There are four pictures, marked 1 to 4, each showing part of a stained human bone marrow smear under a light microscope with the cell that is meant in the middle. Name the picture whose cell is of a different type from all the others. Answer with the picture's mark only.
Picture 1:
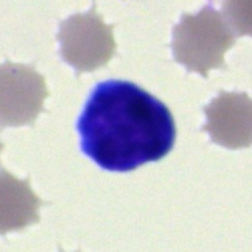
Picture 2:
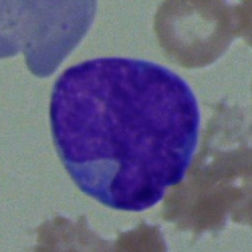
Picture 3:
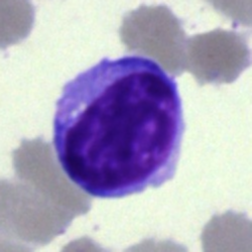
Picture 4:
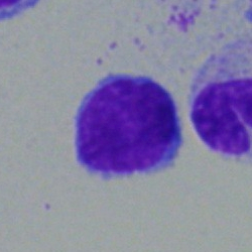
2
